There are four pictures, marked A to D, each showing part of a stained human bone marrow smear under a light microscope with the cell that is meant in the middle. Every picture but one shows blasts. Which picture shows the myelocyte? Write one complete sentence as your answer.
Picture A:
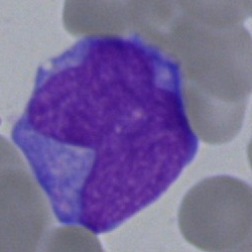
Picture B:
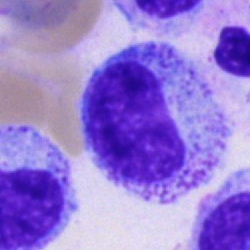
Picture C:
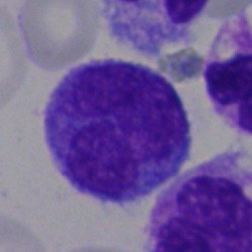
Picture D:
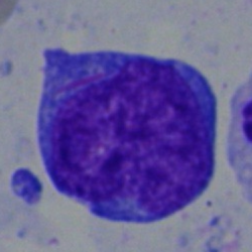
Picture B is the one that shows the myelocyte.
